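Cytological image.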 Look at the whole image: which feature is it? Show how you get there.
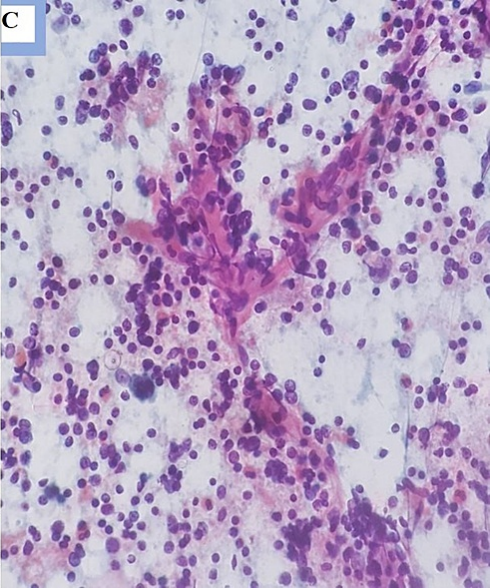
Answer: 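A branching pink-staining band runs across the field. Elongated and oval nuclei line and lie within the pink band. Many dispersed small round cells surround the band.
Conclusion: a proliferating capillary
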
